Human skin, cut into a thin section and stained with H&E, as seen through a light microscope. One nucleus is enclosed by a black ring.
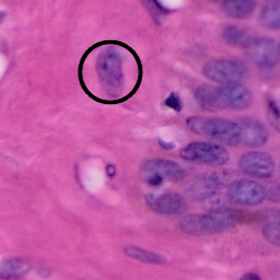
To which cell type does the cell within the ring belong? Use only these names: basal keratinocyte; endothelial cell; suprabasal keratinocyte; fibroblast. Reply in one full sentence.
The cell meant here is a fibroblast.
